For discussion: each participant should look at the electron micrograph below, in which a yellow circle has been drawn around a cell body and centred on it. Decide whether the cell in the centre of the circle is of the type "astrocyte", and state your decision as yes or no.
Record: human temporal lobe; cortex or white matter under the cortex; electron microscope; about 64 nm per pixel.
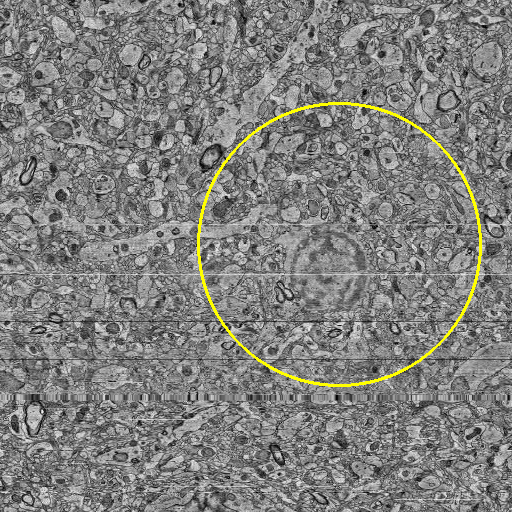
no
